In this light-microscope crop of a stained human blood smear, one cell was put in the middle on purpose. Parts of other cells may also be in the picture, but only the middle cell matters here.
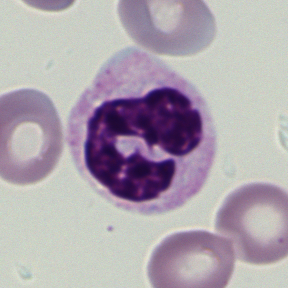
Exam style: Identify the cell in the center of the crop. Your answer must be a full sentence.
The crop centres on a single cell, and that cell is a band neutrophil.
